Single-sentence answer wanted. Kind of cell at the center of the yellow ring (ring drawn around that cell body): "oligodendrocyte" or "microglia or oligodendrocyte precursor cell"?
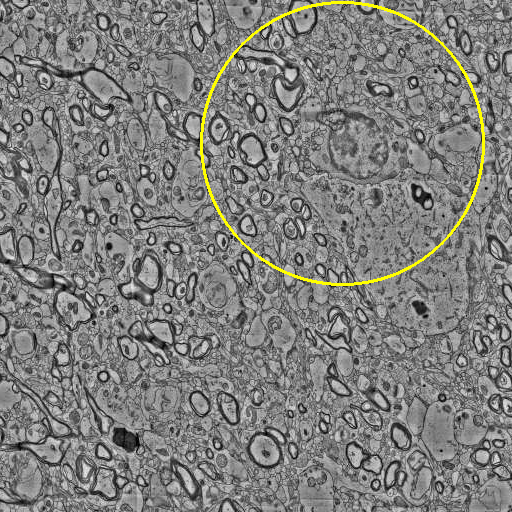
The cell centered in the ring is an oligodendrocyte.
